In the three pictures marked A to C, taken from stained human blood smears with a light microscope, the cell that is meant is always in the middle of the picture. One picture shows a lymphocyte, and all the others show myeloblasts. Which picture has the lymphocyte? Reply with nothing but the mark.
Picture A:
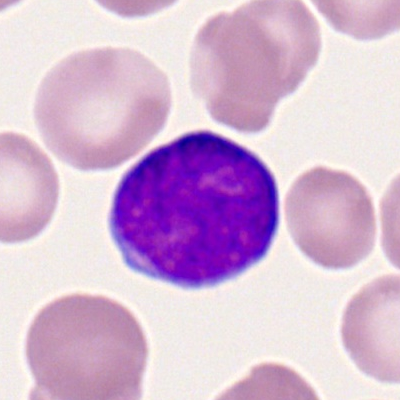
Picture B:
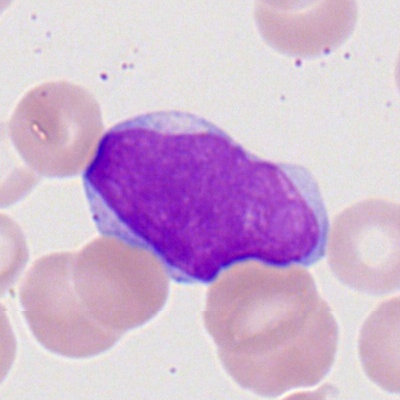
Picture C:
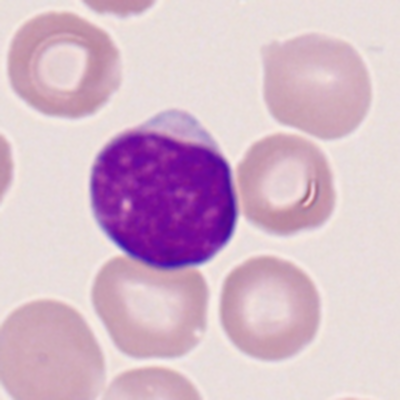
A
